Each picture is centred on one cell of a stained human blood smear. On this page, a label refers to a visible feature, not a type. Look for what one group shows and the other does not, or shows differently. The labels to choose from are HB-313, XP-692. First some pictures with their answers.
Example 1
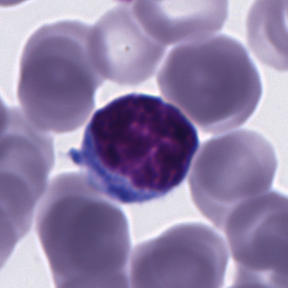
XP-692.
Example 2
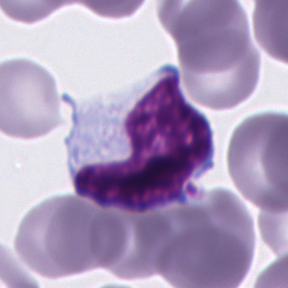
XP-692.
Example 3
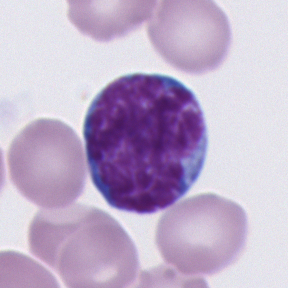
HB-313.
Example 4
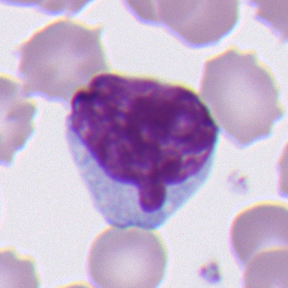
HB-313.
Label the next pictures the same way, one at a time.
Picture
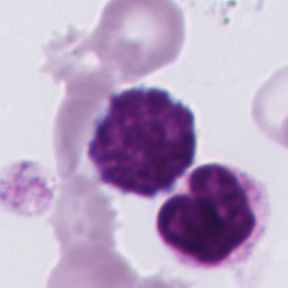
XP-692.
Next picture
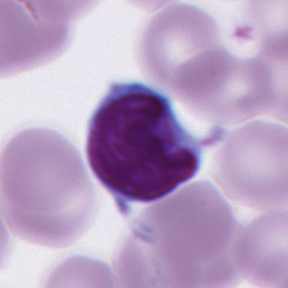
XP-692.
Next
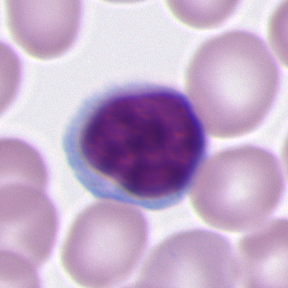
HB-313.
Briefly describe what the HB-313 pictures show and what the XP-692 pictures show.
In HB-313: smooth outline. In XP-692: ragged outline or projections.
